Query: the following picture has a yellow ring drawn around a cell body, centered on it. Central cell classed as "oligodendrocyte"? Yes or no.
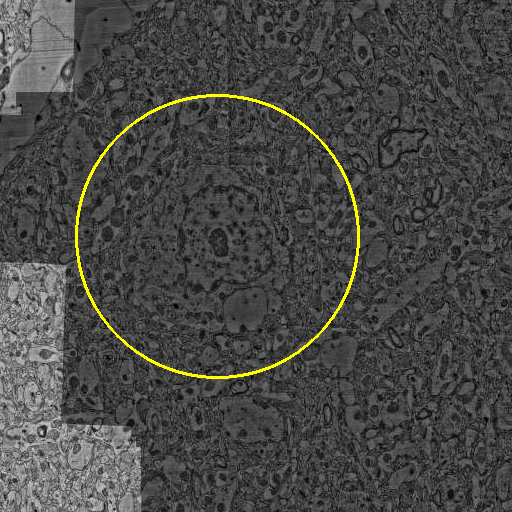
no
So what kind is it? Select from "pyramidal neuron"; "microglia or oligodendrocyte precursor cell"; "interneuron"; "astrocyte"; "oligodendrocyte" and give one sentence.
So the cell at the centre is an interneuron.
